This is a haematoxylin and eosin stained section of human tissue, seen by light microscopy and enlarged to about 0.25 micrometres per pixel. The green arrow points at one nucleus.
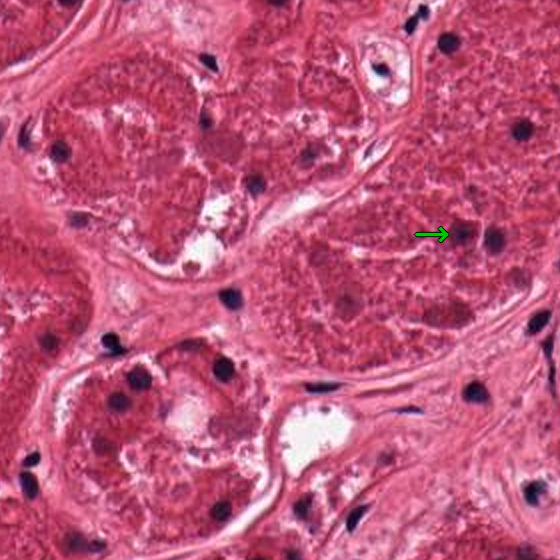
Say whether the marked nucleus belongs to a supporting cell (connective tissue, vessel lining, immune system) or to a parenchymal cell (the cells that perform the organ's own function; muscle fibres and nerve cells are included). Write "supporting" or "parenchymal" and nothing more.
parenchymal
